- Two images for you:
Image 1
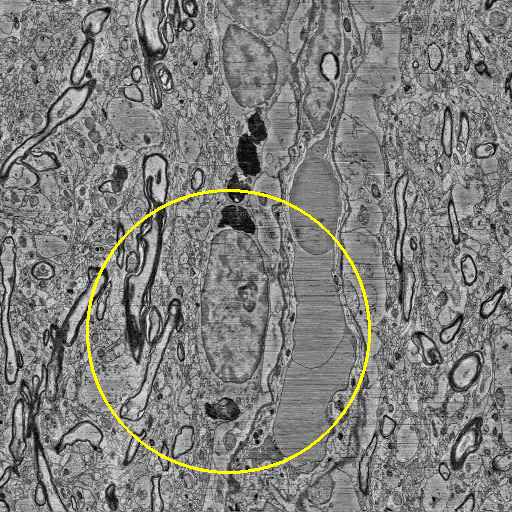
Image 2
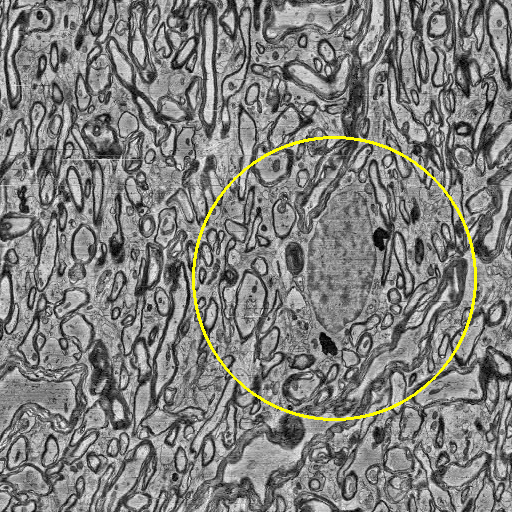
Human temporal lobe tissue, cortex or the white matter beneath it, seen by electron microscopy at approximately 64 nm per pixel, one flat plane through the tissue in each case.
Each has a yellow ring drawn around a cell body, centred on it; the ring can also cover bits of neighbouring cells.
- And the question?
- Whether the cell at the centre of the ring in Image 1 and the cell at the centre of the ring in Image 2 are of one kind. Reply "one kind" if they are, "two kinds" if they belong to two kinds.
one kind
